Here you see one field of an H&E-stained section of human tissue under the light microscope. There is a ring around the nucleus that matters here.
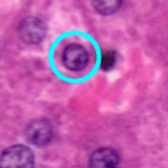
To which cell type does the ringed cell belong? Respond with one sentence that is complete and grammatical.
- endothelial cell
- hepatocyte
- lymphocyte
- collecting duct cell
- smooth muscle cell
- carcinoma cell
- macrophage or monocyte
At the level of cell identity, the ringed cell is a hepatocyte.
